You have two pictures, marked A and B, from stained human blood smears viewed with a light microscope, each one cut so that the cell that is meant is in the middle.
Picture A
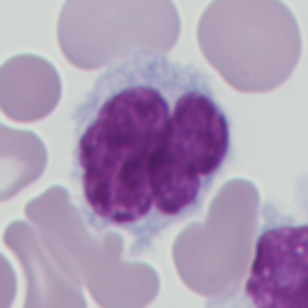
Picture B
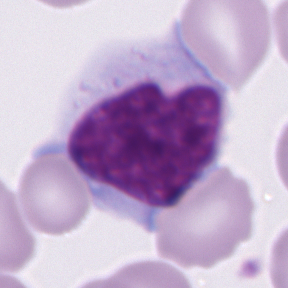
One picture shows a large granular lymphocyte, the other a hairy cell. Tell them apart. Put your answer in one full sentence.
The cell in picture A is a hairy cell, and the one in picture B is a large granular lymphocyte.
